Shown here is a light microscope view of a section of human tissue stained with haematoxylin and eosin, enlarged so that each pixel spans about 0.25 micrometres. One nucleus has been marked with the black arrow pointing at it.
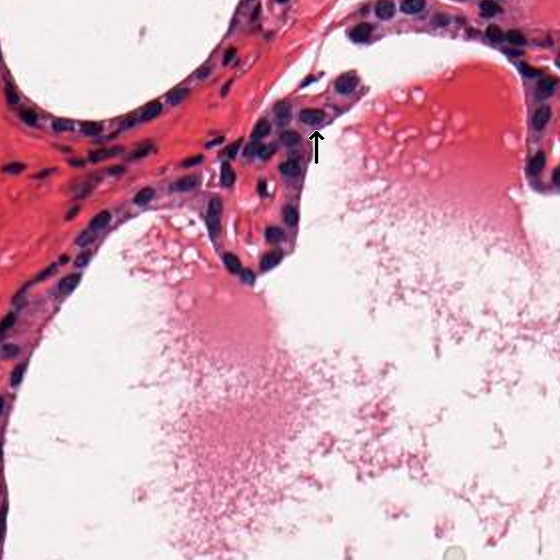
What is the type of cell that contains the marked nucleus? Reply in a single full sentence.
The nucleus that the mark indicates belongs to a thyroid follicular cell.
